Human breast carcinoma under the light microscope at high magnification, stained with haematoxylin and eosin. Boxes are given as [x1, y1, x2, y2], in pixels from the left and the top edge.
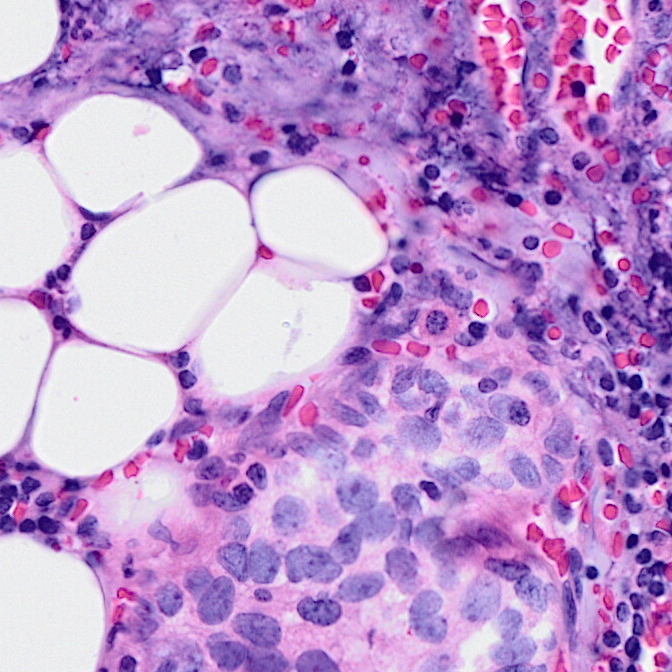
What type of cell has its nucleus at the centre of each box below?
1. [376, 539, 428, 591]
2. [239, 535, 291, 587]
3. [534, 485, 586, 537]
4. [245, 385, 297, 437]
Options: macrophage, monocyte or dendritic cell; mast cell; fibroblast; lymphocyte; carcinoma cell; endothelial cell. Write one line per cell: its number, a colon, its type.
1: carcinoma cell
2: carcinoma cell
3: endothelial cell
4: endothelial cell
